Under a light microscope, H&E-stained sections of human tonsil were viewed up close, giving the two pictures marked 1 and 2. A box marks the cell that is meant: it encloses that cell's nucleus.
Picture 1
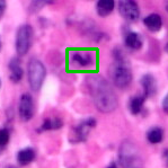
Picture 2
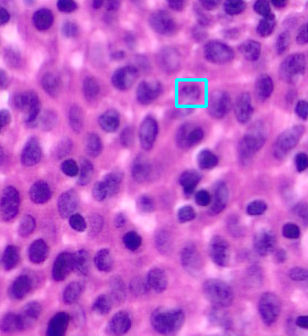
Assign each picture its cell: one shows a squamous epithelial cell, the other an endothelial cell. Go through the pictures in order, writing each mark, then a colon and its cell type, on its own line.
1: endothelial cell
2: squamous epithelial cell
